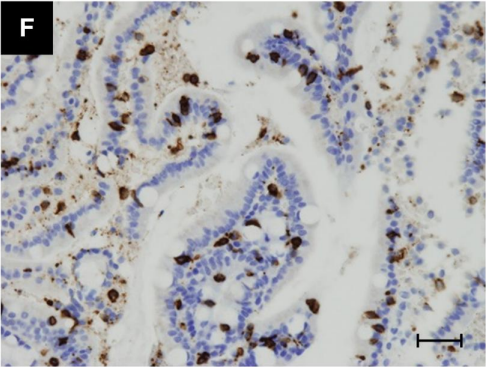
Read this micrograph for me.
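The section shows folded fronds of tissue lined by a single layer of tall columnar epithelial cells with elongated blue nuclei lined up near the base. Scattered rounded clear vacuoles sit among the lining cells. Many small cells with dark brown-stained cytoplasm lie within the epithelial layer and in the loose stroma at the cores of the folds, along with fine brown granular material. Open clear spaces separate the fronds.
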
